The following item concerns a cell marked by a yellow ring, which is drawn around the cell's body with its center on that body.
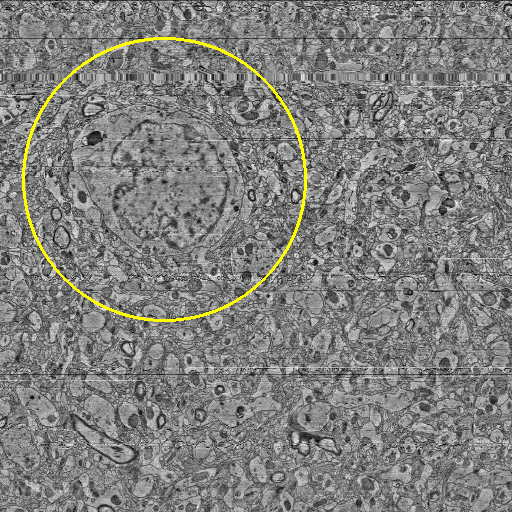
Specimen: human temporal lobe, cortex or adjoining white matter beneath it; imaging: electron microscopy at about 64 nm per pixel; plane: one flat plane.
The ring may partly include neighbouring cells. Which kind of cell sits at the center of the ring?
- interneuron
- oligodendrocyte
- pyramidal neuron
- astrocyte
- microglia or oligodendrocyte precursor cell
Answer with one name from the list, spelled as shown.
interneuron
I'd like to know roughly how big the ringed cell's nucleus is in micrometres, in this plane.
Approximately 9 x 8 micrometres in this plane.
